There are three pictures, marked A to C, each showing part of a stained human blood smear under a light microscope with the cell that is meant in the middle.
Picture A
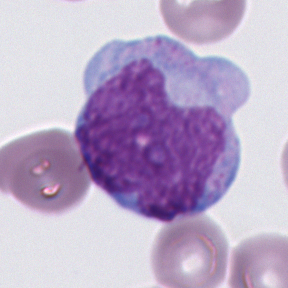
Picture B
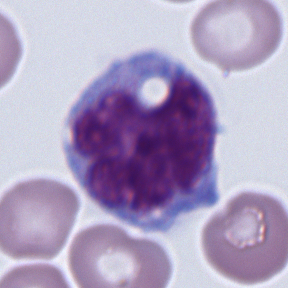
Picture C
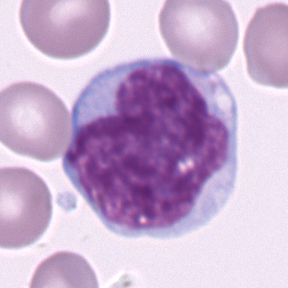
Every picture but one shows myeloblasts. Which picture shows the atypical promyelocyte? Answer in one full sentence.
The picture with the atypical promyelocyte is A.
